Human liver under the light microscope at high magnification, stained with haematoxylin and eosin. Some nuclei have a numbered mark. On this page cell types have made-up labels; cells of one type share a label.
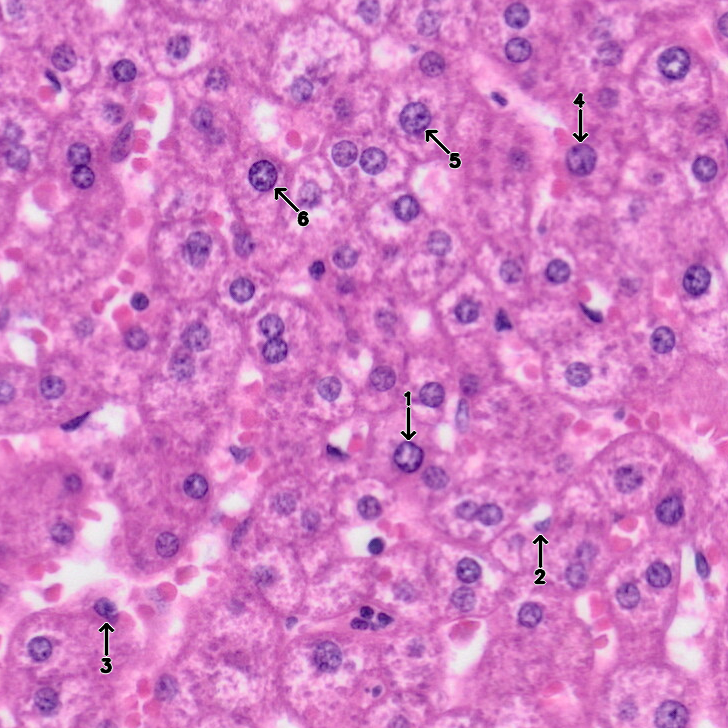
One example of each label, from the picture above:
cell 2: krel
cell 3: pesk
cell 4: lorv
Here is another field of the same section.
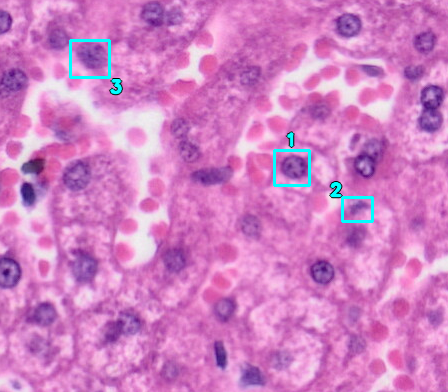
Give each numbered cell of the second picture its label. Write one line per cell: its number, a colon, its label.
1: lorv
2: pesk
3: krel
